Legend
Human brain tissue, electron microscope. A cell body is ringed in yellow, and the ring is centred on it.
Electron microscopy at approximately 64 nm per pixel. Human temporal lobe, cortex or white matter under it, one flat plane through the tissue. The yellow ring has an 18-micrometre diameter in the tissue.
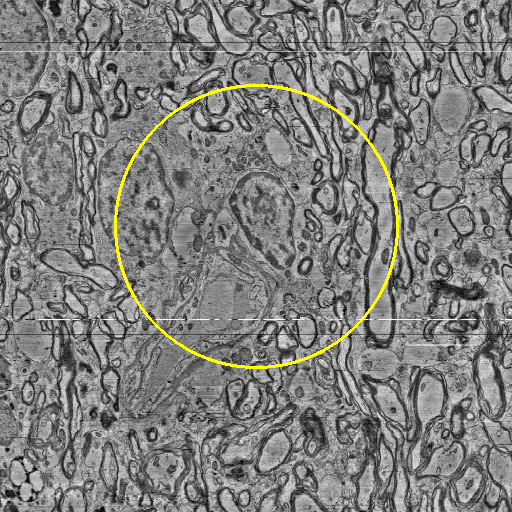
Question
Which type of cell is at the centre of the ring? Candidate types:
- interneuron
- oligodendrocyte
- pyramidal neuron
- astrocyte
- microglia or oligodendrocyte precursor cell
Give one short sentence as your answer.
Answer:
The yellow ring is centred here on a microglial cell or oligodendrocyte precursor cell.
